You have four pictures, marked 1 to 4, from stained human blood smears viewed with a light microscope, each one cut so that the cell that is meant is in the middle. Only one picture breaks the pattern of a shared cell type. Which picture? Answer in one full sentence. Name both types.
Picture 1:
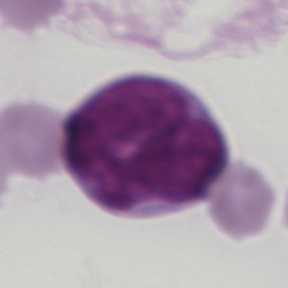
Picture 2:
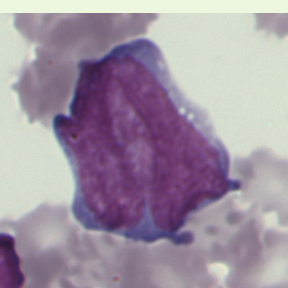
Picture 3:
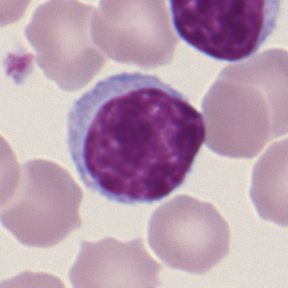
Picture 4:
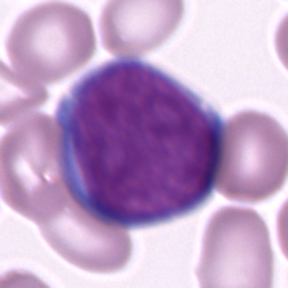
Picture 3 differs, because its cell is a typical lymphocyte and the rest are myeloblasts.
